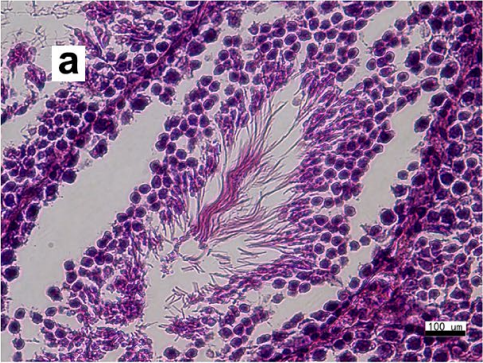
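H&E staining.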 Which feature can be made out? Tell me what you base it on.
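Elongated tubules lined by many layers of round, dark-nucleated germ cells. A central lumen filled with a bundle of pink sperm tails. Thin bands of flattened cells separate neighbouring tubules.
Answer: seminiferous tubules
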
